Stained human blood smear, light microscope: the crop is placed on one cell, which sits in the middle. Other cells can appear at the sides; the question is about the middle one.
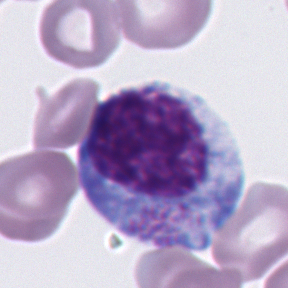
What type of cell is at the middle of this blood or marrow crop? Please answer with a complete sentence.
The cell found in the middle of this crop is a myelocyte.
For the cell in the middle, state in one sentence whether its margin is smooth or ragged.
Happy to help: the outline is smooth and shows no projections.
